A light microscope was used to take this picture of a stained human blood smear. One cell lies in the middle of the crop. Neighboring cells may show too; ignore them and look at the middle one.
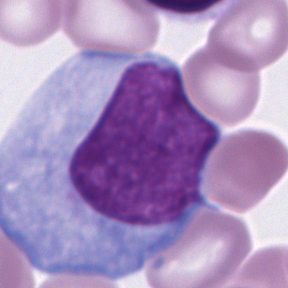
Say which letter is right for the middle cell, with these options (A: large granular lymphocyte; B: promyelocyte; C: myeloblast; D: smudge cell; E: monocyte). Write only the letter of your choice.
C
